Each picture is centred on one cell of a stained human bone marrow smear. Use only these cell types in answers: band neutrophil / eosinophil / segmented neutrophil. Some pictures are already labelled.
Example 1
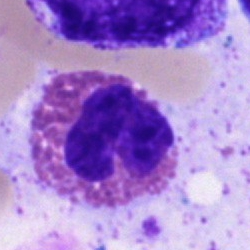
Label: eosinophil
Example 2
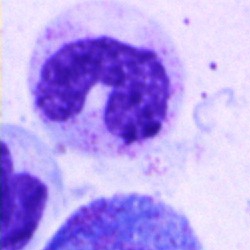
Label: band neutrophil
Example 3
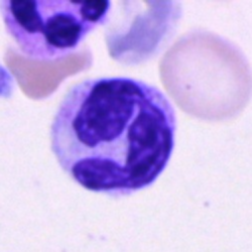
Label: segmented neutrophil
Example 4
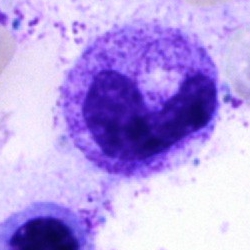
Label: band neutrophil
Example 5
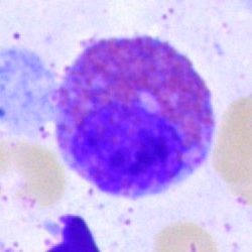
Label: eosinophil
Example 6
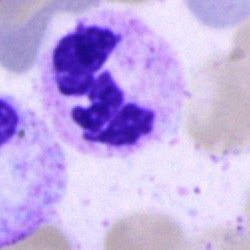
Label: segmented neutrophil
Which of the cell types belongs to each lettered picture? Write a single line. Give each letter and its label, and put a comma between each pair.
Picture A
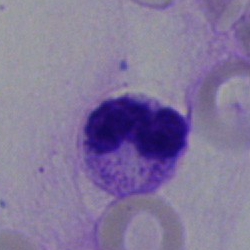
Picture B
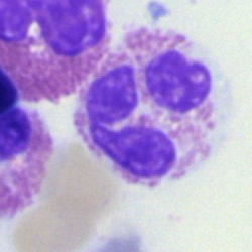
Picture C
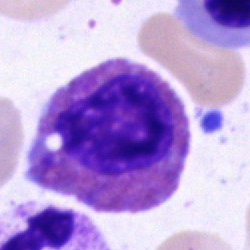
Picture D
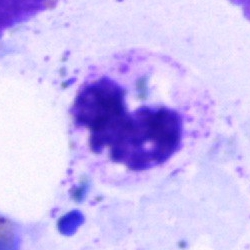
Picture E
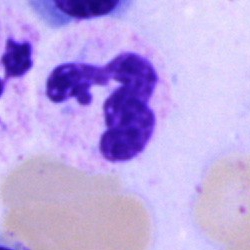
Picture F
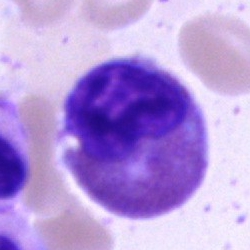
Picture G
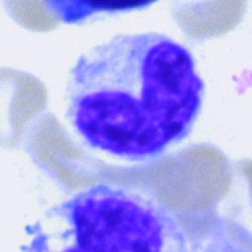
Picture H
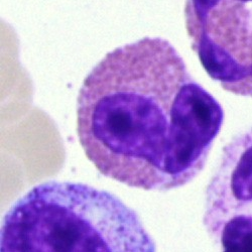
A segmented neutrophil, B eosinophil, C eosinophil, D segmented neutrophil, E segmented neutrophil, F eosinophil, G band neutrophil, H eosinophil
